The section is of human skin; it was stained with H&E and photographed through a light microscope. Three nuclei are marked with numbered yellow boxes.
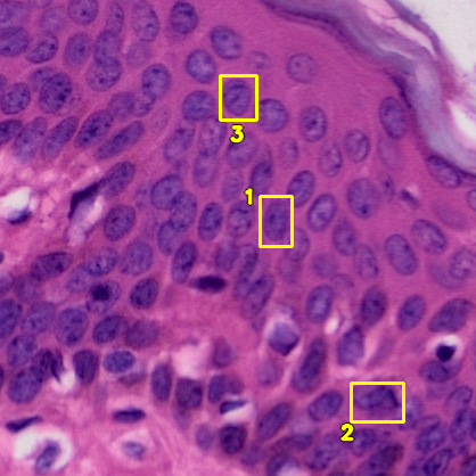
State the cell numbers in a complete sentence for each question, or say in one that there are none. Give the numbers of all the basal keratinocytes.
Of all the numbered cells, only one is a basal keratinocyte, and that is cell 2.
